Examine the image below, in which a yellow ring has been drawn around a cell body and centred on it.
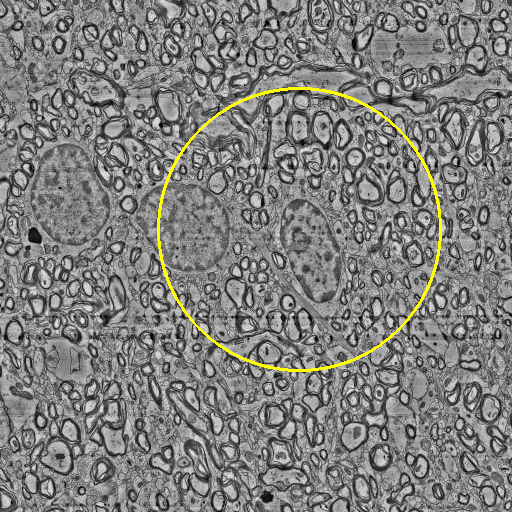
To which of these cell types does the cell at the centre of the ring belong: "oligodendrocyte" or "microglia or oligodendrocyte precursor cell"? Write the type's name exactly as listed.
microglia or oligodendrocyte precursor cell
